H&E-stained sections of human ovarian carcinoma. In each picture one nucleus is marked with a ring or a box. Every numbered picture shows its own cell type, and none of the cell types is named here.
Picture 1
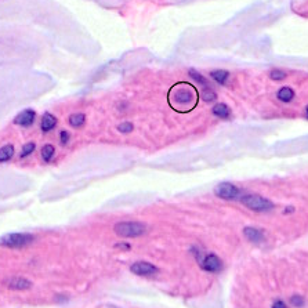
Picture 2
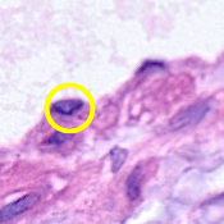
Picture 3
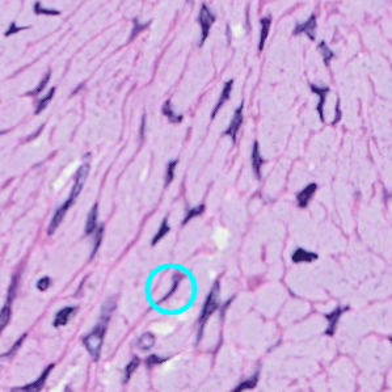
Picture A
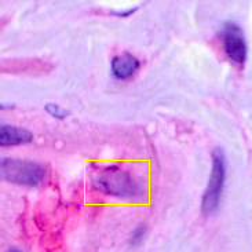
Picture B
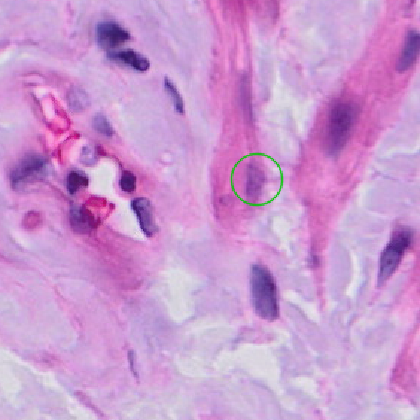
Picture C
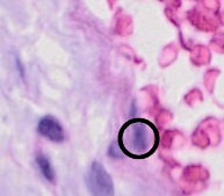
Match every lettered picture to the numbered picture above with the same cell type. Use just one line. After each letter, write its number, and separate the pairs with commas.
A 2, B 1, C 2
